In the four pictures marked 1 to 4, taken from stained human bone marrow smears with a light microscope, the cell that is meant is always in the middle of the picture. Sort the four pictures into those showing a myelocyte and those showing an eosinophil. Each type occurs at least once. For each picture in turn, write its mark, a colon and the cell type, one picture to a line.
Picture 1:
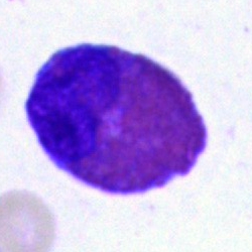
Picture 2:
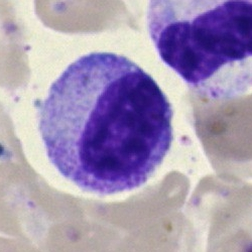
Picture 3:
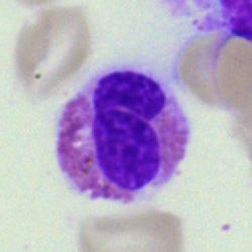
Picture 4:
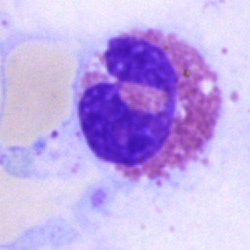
1: eosinophil
2: myelocyte
3: eosinophil
4: eosinophil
